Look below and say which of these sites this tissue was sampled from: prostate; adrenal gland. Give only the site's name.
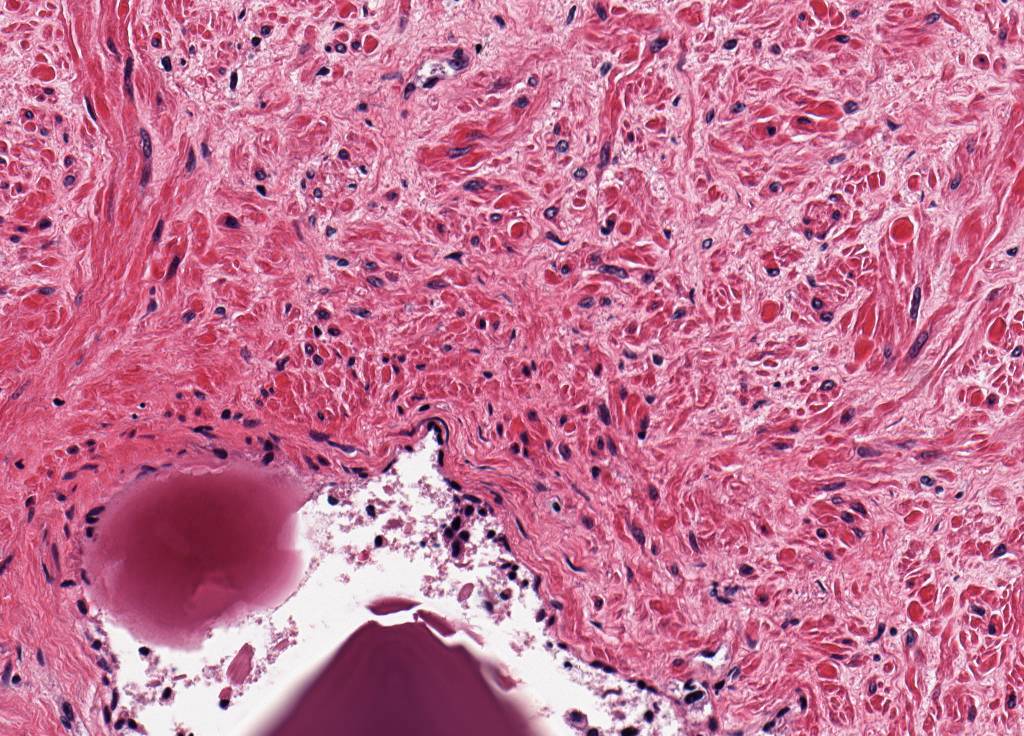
prostate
